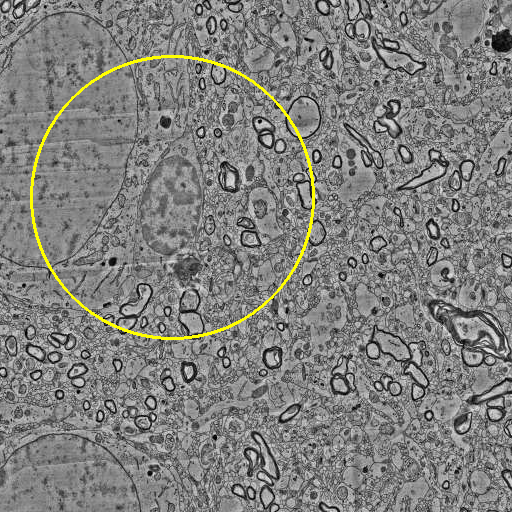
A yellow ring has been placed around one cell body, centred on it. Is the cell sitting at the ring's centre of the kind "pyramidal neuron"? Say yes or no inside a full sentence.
No, the cell at the centre of the yellow ring belongs to a different kind.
